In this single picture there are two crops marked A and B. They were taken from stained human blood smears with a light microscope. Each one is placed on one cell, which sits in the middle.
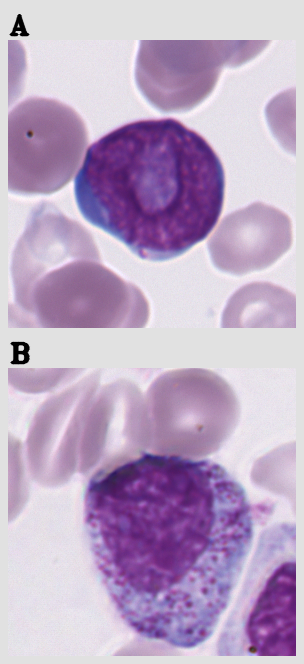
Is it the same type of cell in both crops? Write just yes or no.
no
